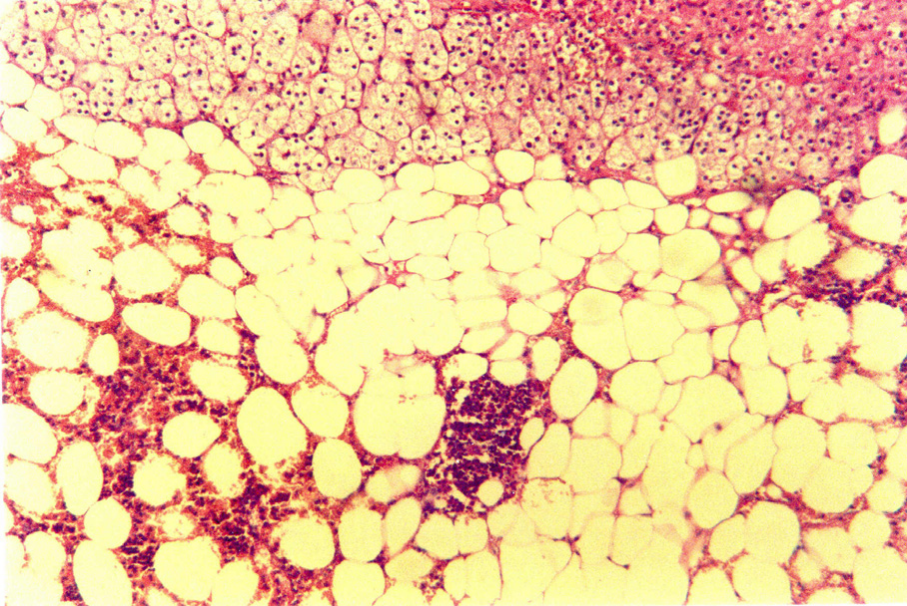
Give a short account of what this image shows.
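This section shows mature fat tissue lying against a band of adrenal cortical cells. Most of the field is made up of large, clear, round to polygonal fat cells of varying size, separated by thin pink septa with flattened nuclei at the edges. Along the top, polygonal cortical cells are arranged in nests and cords; they have pale, finely vacuolated, foamy cytoplasm and small, round, dark central nuclei. In the lower left and between the fat cells, red-staining blood cells are spread outside the vessels, forming patches of hemorrhage. Near the centre and at the right edge there are dense clusters of small, dark purple cells among the fat cells, consistent with inflammatory infiltrates.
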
